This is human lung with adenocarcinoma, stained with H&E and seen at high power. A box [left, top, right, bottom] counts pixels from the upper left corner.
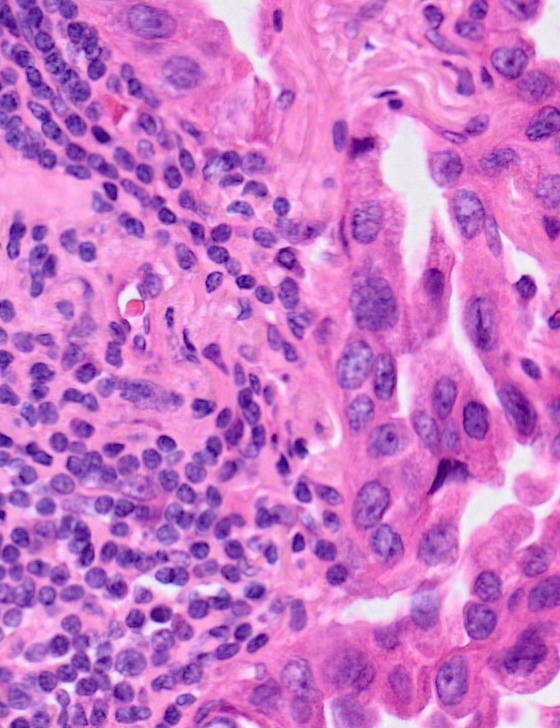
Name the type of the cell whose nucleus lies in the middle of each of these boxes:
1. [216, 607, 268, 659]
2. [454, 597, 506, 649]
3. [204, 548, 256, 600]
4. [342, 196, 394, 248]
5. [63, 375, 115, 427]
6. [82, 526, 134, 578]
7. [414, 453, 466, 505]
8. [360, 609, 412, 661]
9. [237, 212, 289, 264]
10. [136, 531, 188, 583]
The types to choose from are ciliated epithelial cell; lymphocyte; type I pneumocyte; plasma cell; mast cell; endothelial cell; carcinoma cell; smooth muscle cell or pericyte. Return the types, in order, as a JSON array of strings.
["lymphocyte", "carcinoma cell", "lymphocyte", "carcinoma cell", "lymphocyte", "lymphocyte", "carcinoma cell", "carcinoma cell", "lymphocyte", "lymphocyte"]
